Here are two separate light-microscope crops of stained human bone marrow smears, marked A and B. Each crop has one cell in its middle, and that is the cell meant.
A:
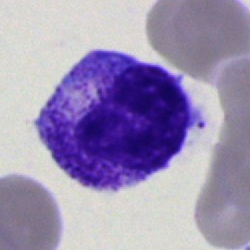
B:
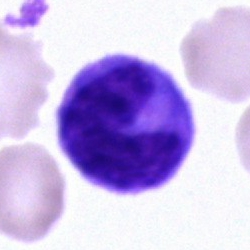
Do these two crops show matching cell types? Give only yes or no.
no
